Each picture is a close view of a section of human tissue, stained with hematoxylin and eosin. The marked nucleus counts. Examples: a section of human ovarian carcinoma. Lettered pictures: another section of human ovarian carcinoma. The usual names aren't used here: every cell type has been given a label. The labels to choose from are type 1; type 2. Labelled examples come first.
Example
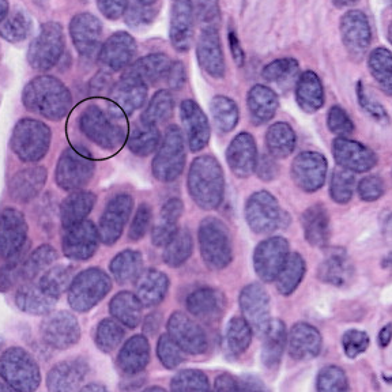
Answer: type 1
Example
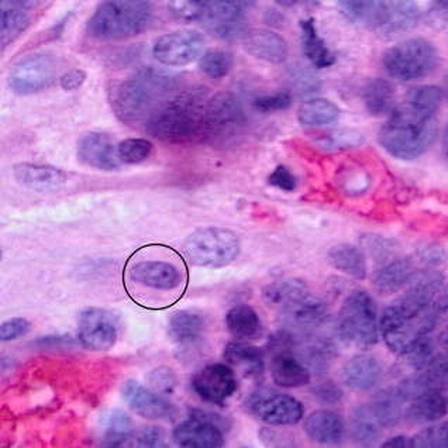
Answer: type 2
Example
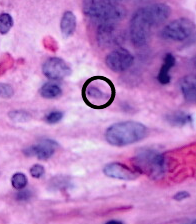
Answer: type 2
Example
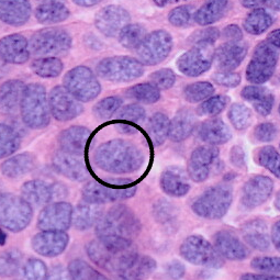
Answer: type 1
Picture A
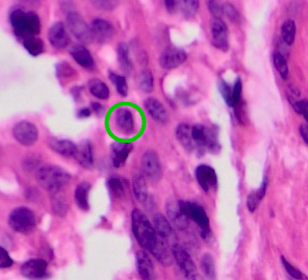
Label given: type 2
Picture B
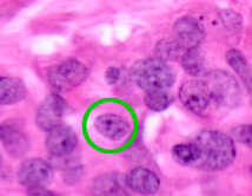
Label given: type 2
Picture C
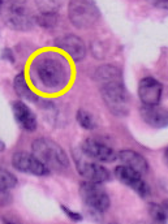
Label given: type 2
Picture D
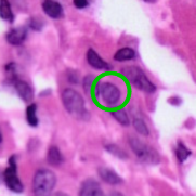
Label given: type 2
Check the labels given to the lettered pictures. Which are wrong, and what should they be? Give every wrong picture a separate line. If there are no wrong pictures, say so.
C: type 1, not type 2
D: type 1, not type 2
